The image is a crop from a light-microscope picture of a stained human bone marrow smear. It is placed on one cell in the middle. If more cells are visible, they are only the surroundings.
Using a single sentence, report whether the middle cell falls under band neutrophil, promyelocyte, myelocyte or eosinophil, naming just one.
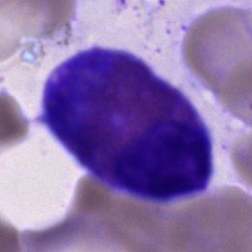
The crop shows an eosinophil in its centre.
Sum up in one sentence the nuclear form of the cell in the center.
There is one compact nucleus, and its shape is round, oval or kidney-like.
